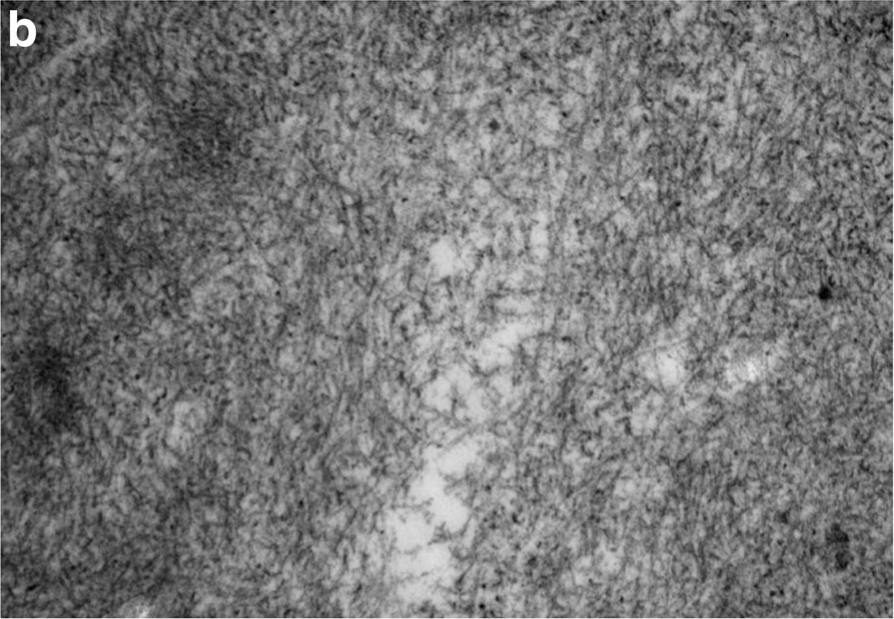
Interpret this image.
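This high-magnification transmission electron micrograph shows an extracellular deposit of amyloid fibrils filling the entire field. The fibrils are thin, short, straight and unbranched, and they run in every direction without parallel alignment, periodic banding or any other regular pattern. They are packed more densely in some areas, which look darker, and more loosely in others, which look paler. No cell membranes, nuclei or organelles are seen in the field; the material is entirely extracellular and fibrillar.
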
